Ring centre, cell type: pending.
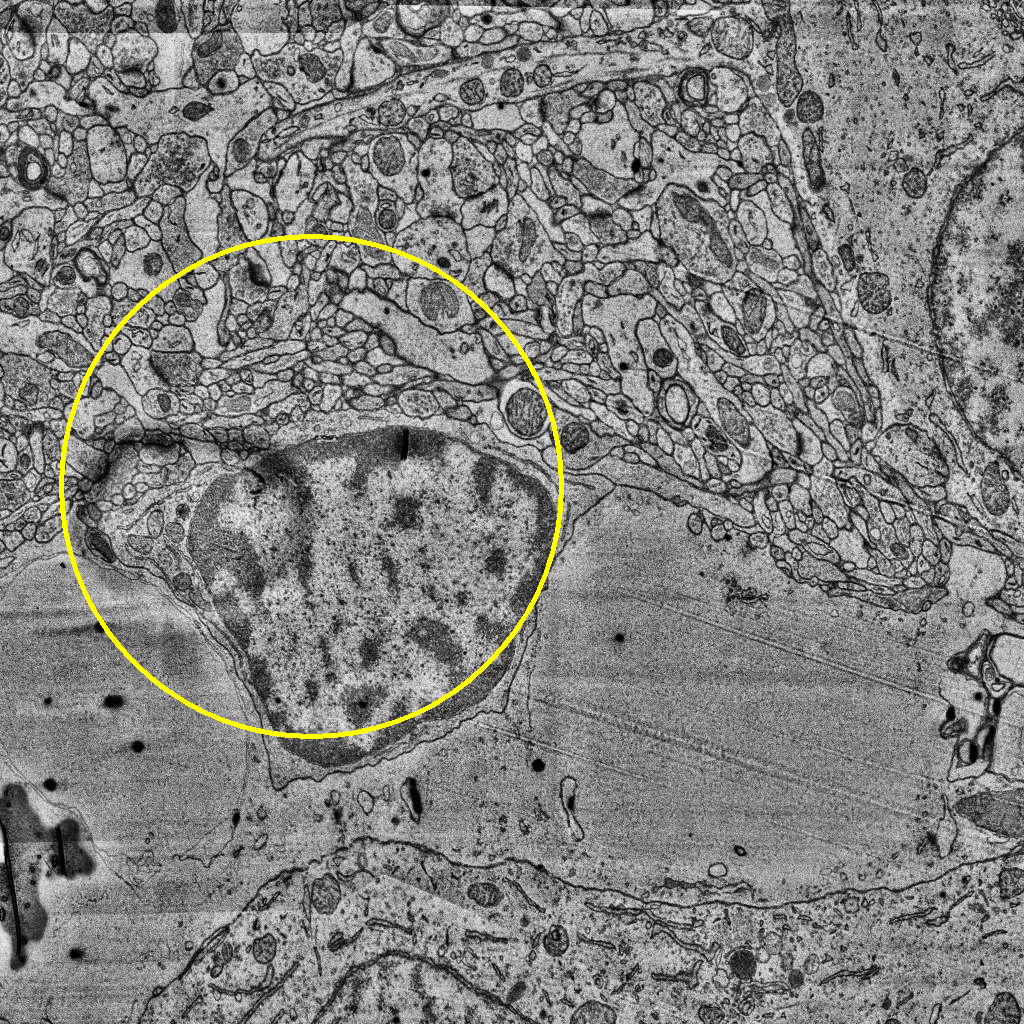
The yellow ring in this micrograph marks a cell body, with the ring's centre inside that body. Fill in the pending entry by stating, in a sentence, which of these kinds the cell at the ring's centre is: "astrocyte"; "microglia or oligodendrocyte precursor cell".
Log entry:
The cell at the ring's centre is recorded as a microglial cell or oligodendrocyte precursor cell.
